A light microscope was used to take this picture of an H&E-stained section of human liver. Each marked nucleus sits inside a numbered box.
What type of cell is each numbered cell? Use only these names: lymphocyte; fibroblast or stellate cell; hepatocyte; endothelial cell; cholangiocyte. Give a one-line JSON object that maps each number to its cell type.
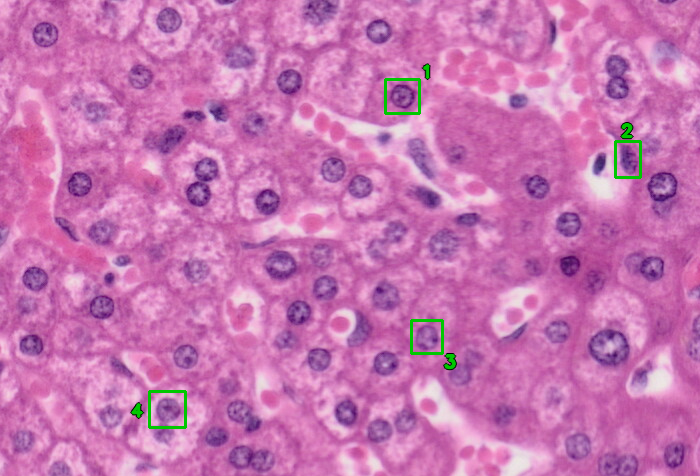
{"1": "hepatocyte", "2": "fibroblast or stellate cell", "3": "hepatocyte", "4": "hepatocyte"}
